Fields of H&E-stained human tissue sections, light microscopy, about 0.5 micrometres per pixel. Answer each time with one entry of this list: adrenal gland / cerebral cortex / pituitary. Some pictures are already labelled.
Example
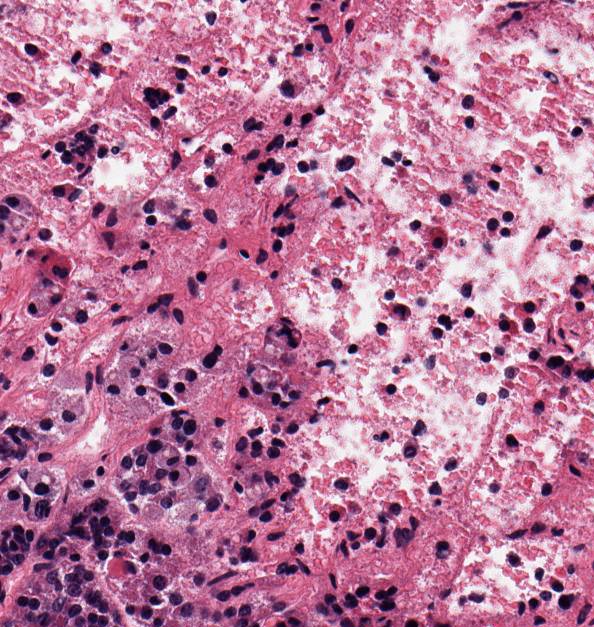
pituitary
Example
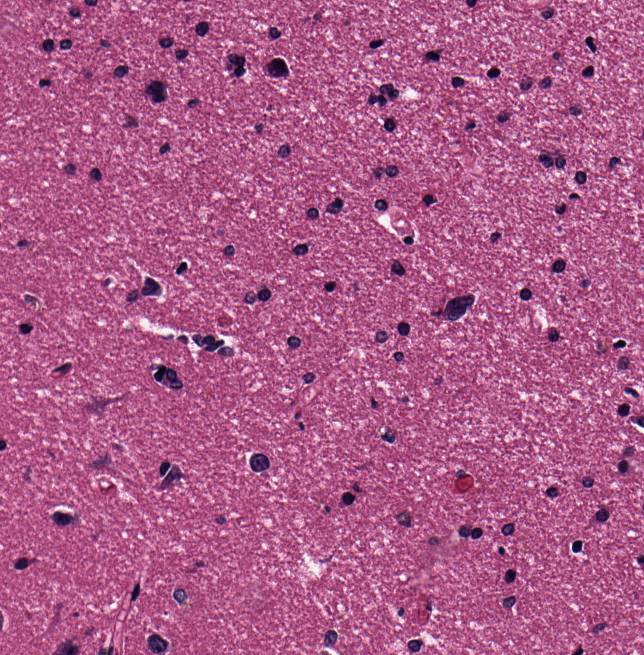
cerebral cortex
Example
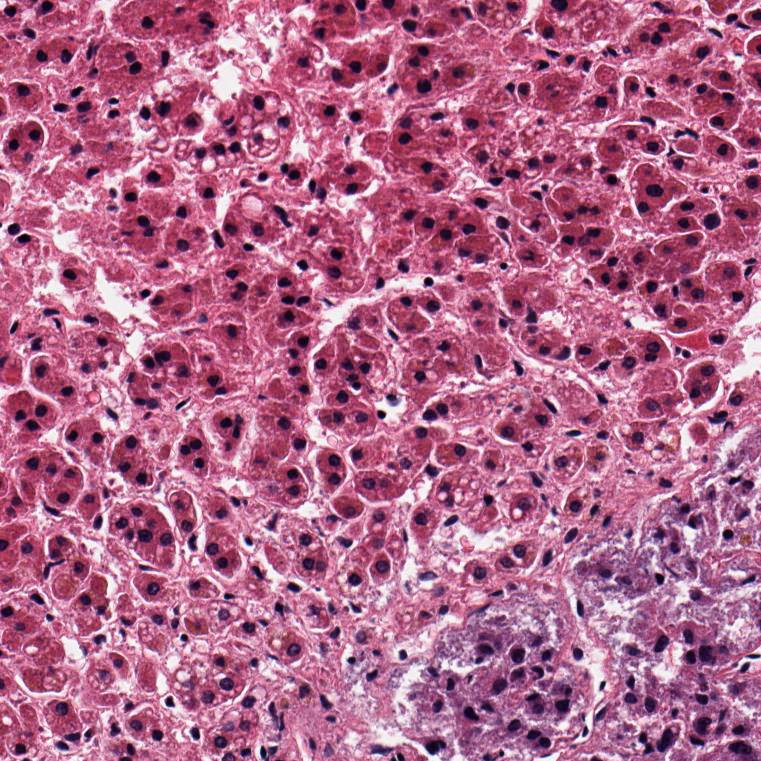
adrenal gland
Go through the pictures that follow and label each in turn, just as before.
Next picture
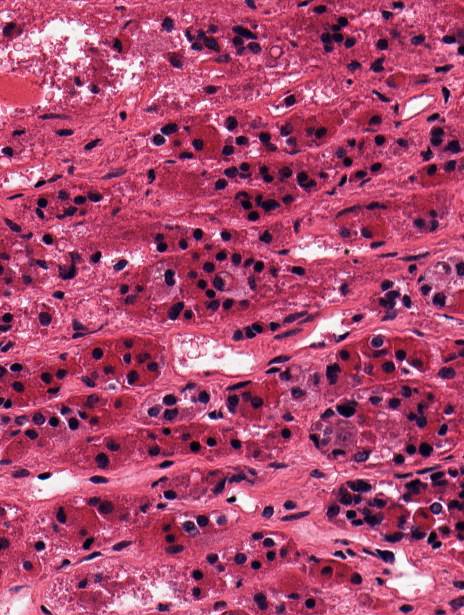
pituitary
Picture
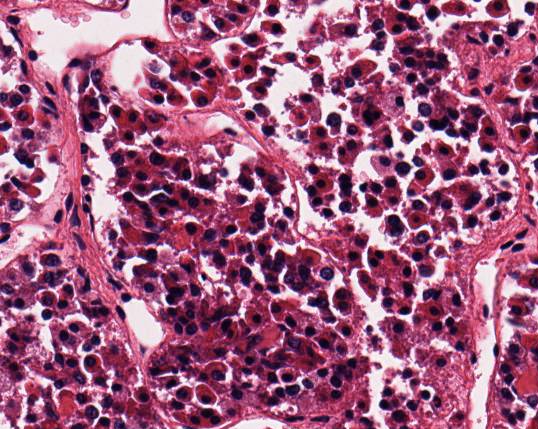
pituitary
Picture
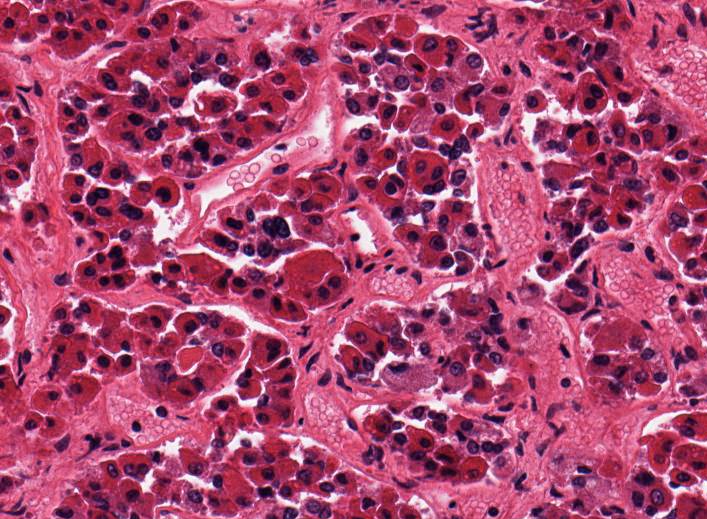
pituitary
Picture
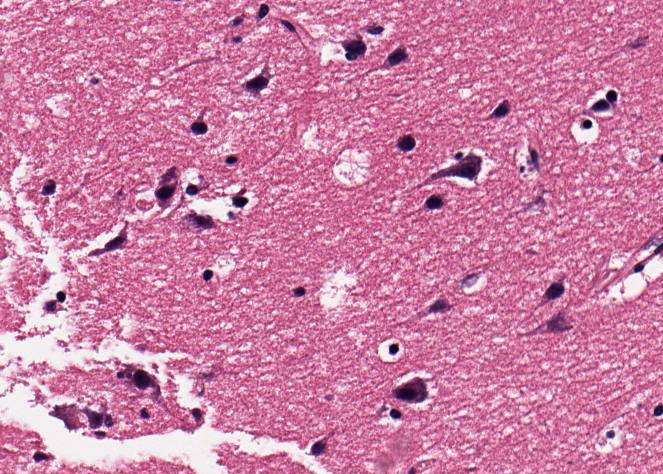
cerebral cortex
